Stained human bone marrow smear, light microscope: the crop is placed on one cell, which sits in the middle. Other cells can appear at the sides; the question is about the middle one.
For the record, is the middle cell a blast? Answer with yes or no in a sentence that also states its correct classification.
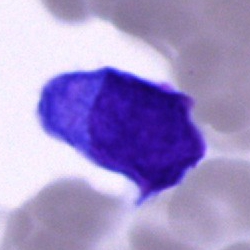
Yes, it is a blast that lies in the middle.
